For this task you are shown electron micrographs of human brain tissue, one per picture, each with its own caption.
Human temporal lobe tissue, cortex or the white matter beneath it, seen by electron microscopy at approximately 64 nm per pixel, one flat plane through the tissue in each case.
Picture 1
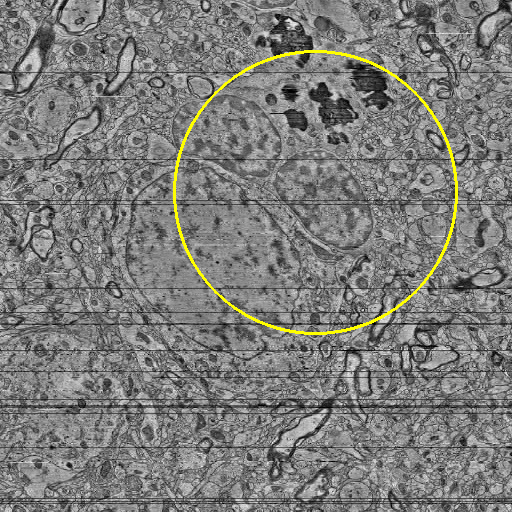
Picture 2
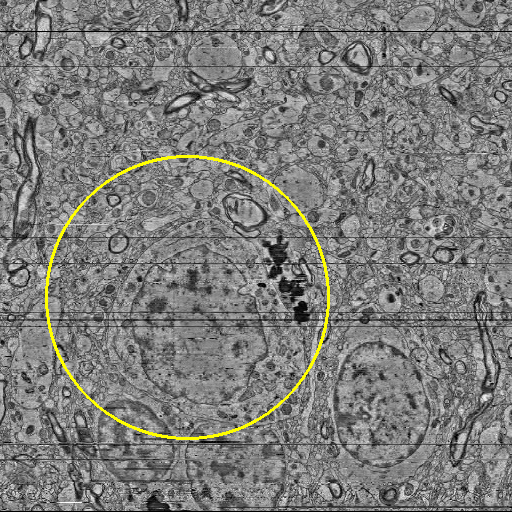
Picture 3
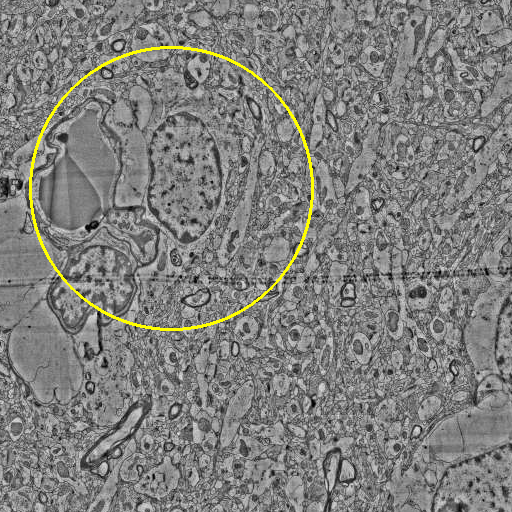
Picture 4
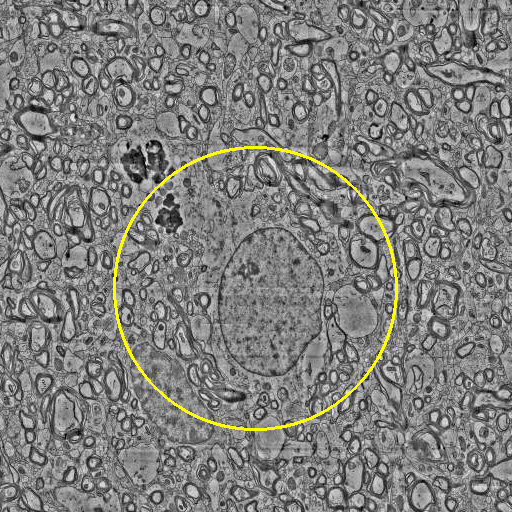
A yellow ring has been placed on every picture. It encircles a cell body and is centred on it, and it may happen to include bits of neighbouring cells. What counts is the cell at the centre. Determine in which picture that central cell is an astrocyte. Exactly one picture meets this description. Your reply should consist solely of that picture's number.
4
